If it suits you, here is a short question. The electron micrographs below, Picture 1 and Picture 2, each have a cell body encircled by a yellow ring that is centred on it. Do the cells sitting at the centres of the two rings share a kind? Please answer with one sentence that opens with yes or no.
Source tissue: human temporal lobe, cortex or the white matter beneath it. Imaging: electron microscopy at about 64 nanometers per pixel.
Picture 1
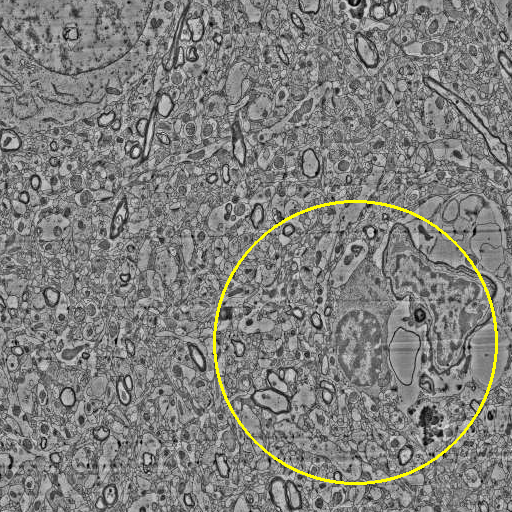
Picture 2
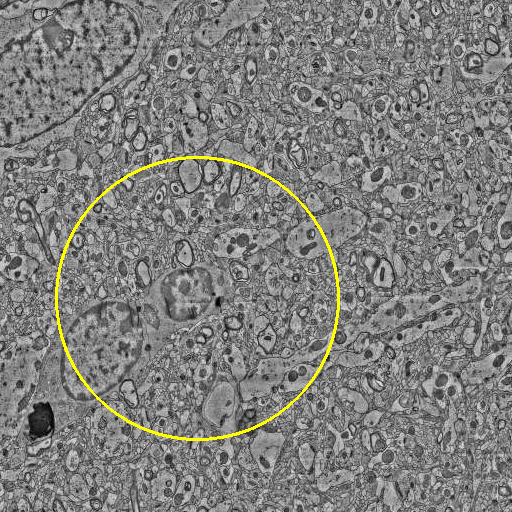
Yes, the two cells sitting at the ring centres share a single kind.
